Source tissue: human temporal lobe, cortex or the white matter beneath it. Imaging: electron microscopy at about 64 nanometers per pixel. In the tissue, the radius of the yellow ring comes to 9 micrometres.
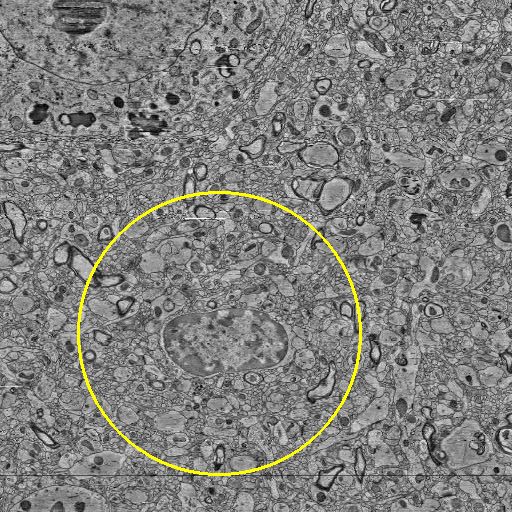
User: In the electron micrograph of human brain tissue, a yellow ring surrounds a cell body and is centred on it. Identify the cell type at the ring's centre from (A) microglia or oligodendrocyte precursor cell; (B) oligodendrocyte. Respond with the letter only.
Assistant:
A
